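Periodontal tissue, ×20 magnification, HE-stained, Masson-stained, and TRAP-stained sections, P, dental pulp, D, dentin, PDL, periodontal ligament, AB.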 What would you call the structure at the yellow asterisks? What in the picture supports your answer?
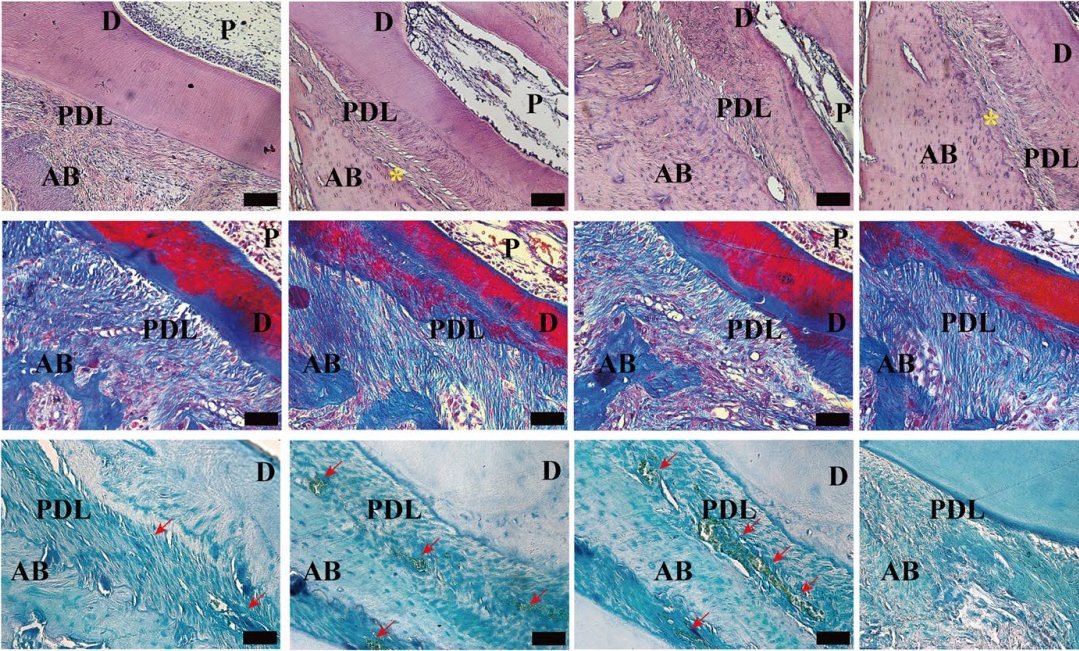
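New bone. Yellow asterisks in the top row sit on pink tissue at the ligament–bone border. The marked tissue holds scattered small cells in lacunae.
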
